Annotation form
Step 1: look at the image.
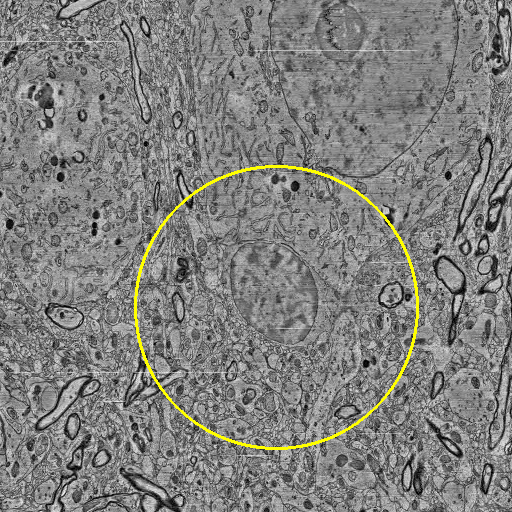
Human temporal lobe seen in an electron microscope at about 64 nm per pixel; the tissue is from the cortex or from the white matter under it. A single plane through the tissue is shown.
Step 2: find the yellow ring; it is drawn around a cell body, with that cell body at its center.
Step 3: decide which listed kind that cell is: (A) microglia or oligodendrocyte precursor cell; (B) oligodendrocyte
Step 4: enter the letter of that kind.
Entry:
B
